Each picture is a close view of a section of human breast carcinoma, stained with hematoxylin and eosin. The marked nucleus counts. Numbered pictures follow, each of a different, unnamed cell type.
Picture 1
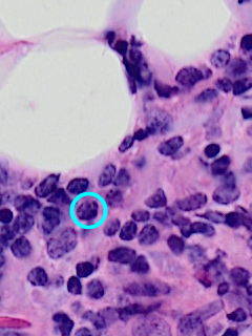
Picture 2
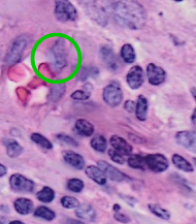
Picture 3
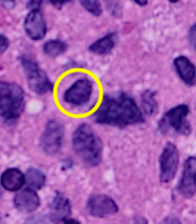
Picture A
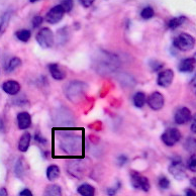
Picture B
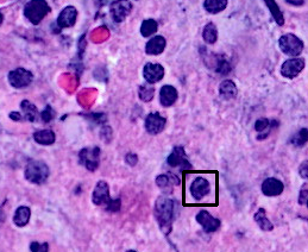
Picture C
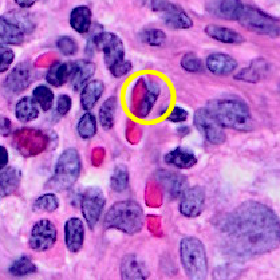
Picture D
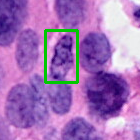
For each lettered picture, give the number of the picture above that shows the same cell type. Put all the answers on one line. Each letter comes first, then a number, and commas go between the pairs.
A 2, B 1, C 2, D 3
